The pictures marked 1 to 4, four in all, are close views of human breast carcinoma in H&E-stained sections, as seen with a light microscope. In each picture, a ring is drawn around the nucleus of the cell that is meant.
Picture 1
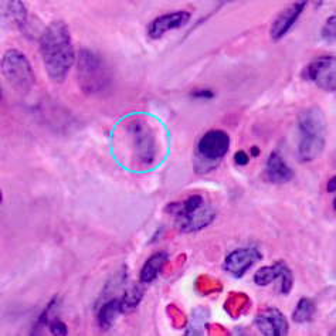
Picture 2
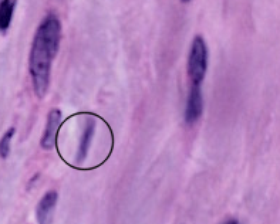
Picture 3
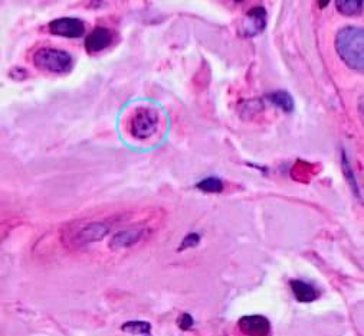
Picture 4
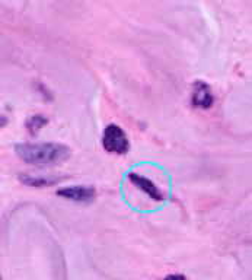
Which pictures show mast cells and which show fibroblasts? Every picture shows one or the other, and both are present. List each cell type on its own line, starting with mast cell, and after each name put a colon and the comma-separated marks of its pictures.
mast cell: 1, 3
fibroblast: 2, 4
